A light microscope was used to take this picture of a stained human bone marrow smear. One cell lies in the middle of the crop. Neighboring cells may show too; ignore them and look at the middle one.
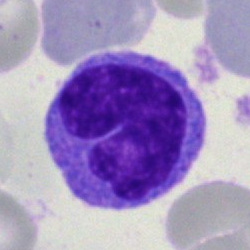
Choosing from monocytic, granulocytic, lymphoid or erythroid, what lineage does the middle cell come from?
monocytic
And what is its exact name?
monocyte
